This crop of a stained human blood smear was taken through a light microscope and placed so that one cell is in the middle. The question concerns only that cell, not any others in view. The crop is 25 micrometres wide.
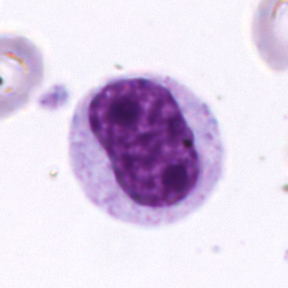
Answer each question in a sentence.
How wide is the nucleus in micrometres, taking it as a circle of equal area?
About 10 micrometres: that is the diameter of the nucleus.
